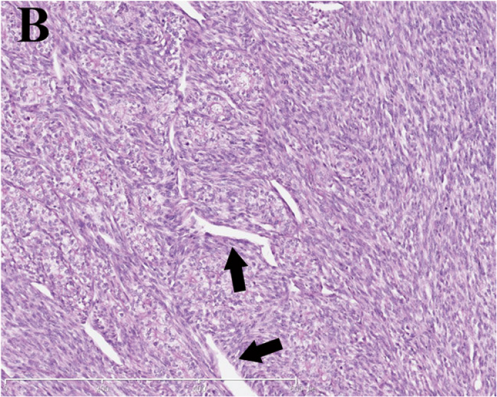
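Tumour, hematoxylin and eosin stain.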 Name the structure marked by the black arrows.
Slit-like structures.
